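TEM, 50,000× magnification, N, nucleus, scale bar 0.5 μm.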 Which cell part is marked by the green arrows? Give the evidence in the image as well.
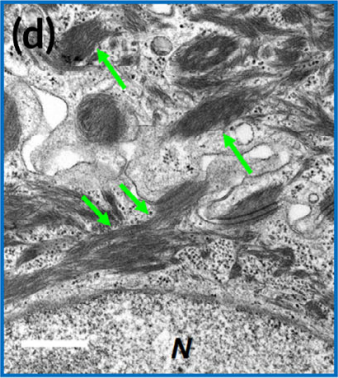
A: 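Keratin filament bundles. The arrows point to thick, dark, fibrillar bundles. The bundles cross the cytoplasm in several directions above the nucleus.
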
